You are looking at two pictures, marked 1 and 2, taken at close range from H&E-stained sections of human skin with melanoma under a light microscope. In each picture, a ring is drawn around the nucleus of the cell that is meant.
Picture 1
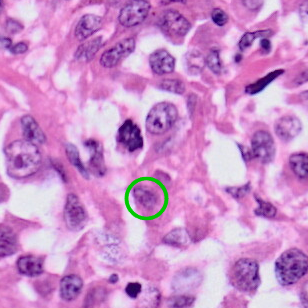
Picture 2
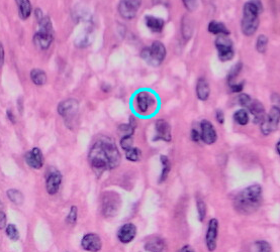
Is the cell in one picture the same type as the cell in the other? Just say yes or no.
no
